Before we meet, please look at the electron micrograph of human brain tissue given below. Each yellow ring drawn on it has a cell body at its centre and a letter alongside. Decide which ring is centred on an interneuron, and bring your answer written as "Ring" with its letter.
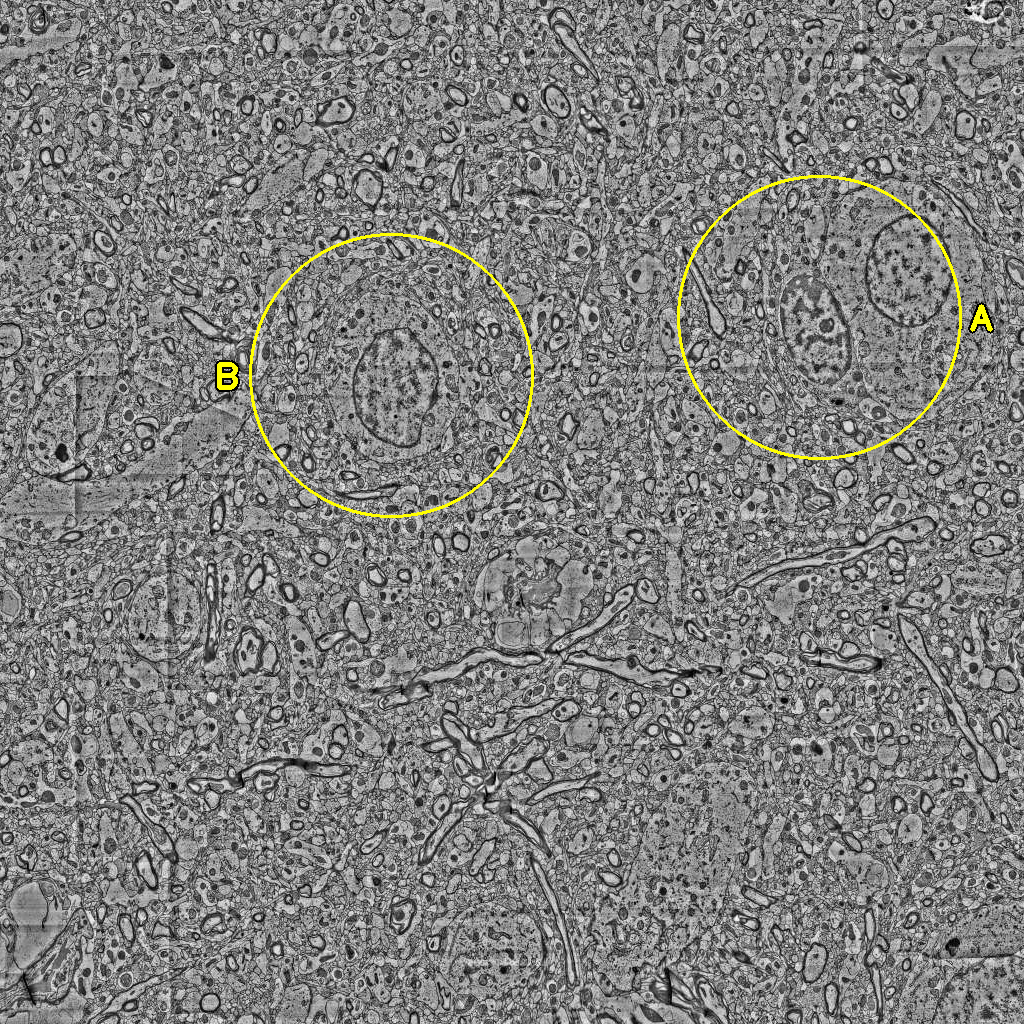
Ring B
